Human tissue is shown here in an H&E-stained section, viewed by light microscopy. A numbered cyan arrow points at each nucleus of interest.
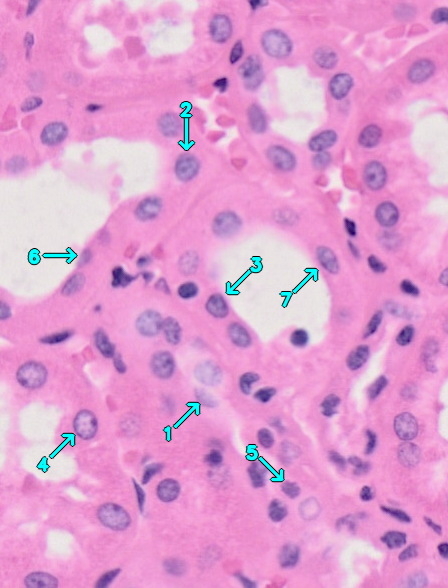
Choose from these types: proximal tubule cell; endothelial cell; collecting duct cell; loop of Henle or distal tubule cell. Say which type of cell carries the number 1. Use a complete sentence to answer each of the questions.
The nucleus with number 1 is that of a collecting duct cell.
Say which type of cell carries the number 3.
The numbered cell 3 in this field is a loop of Henle or distal tubule cell.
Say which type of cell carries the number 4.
Heads up, the cell numbered 4 is a proximal tubule cell.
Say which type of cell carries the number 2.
Number 2 among the marked cells is a loop of Henle or distal tubule cell.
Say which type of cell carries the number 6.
The marked nucleus 6 is that of a loop of Henle or distal tubule cell.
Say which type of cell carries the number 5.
The cell pointed out as number 5 is a collecting duct cell.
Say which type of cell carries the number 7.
The numbered cell 7 in this field is a loop of Henle or distal tubule cell.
